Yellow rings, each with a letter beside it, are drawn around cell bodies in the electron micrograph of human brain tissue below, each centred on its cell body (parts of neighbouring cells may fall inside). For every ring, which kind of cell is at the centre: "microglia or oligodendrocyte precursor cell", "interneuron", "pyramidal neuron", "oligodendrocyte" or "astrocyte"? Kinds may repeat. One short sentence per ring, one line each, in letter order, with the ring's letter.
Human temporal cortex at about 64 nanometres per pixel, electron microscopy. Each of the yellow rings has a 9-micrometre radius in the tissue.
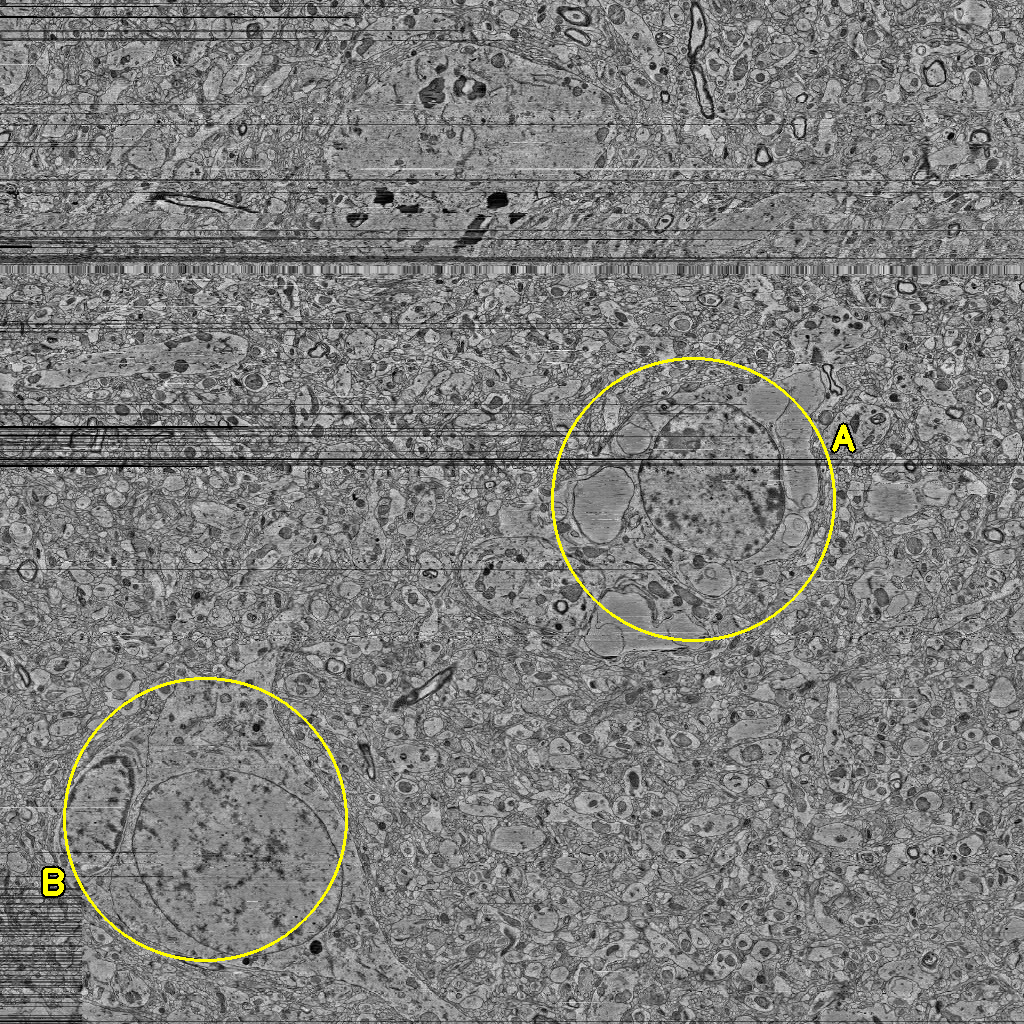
The cell in ring A is an astrocyte.
The cell in ring B is a pyramidal neuron.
